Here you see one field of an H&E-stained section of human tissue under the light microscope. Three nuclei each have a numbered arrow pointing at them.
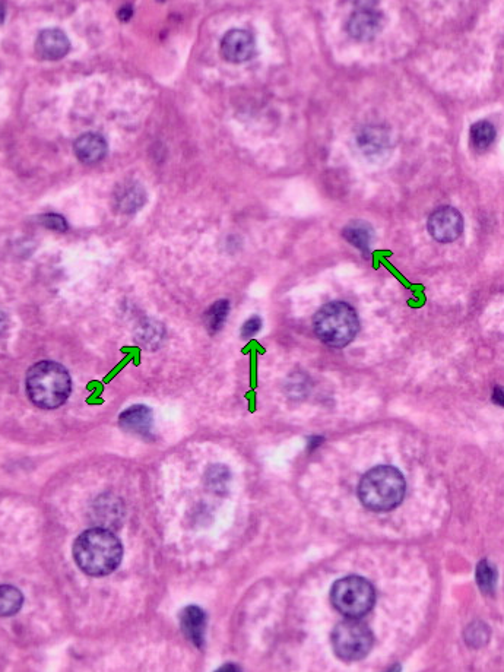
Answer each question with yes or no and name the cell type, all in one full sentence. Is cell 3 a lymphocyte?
No, cell number 3 is an endothelial cell; it is not a lymphocyte.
